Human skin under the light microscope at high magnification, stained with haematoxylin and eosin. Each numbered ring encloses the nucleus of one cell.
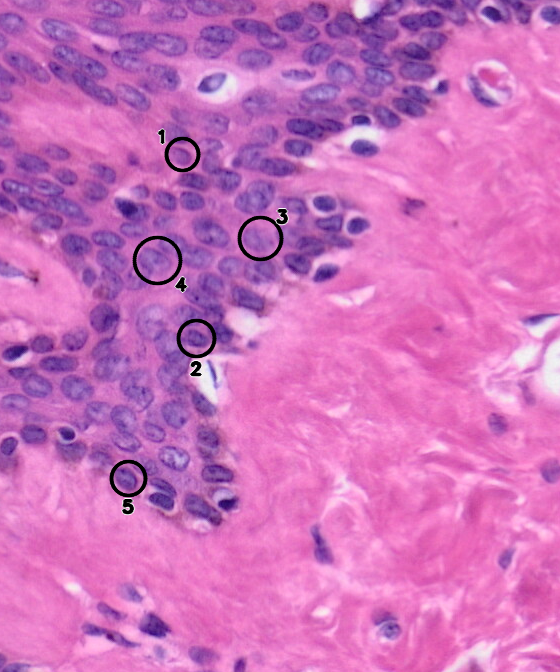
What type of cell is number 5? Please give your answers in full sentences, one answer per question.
The cell pointed out as number 5 is a basal keratinocyte.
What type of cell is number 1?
Nucleus 1 in this section belongs to a basal keratinocyte.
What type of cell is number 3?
The cell pointed out as number 3 is a suprabasal keratinocyte.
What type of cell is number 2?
The cell marked with the number 2 is a basal keratinocyte.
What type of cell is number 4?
Cell 4, as marked in the section, is a suprabasal keratinocyte.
